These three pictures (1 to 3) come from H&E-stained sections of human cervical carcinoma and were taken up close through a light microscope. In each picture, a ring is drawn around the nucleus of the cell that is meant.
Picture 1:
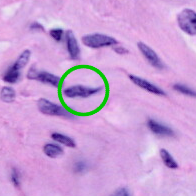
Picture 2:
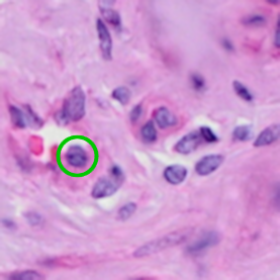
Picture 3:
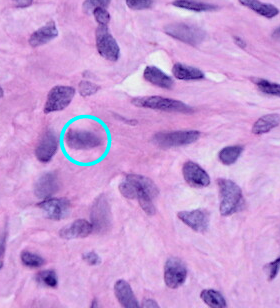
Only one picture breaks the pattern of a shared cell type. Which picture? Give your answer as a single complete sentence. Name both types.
The different one is picture 2; it shows an endothelial cell, whereas all the others show fibroblasts.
